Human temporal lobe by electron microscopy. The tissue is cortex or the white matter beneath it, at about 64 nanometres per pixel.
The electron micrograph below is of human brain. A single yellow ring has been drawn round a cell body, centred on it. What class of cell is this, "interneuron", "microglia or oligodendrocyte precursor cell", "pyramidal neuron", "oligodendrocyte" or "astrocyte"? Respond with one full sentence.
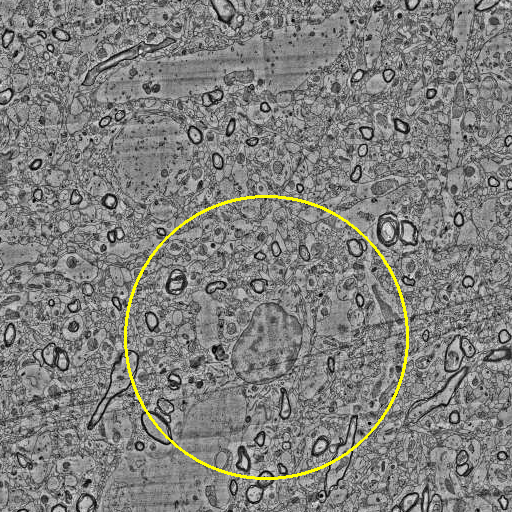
In the micrograph, the cell centred inside the yellow ring is a microglial cell or oligodendrocyte precursor cell.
